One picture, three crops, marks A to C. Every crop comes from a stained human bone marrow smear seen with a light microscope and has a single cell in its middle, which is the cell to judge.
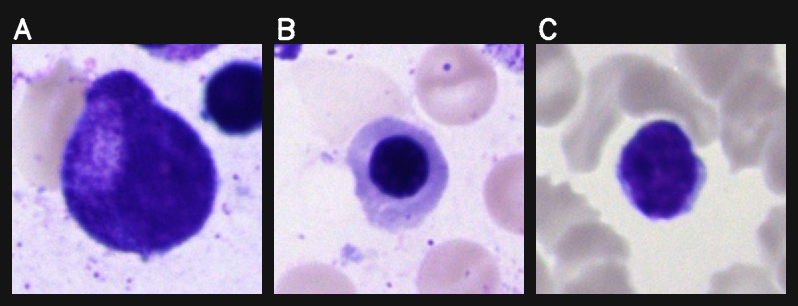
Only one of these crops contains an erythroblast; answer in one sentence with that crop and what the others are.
Crop B is an erythroblast and, for the others, crop A is a promyelocyte and crop C is a lymphocyte.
